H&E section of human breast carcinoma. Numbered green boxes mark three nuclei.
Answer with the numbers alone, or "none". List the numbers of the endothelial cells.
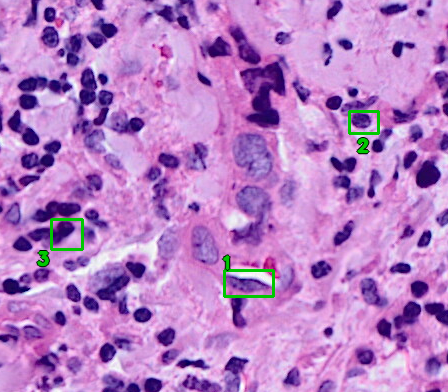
1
